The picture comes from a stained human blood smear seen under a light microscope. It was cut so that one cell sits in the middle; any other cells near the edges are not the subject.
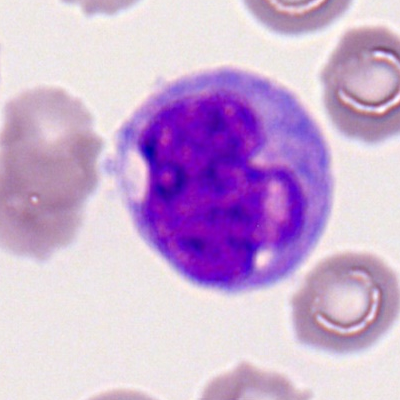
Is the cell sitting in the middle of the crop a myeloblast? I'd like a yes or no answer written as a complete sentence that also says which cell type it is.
No, the middle of the crop holds a monocyte, not a myeloblast.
